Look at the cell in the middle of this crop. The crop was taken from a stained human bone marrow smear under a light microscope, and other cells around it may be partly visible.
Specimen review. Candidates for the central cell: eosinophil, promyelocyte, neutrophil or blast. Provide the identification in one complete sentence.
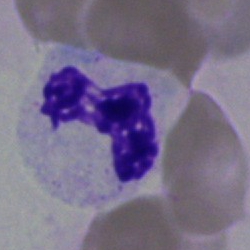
In this crop, the cell at the very middle is a neutrophil.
